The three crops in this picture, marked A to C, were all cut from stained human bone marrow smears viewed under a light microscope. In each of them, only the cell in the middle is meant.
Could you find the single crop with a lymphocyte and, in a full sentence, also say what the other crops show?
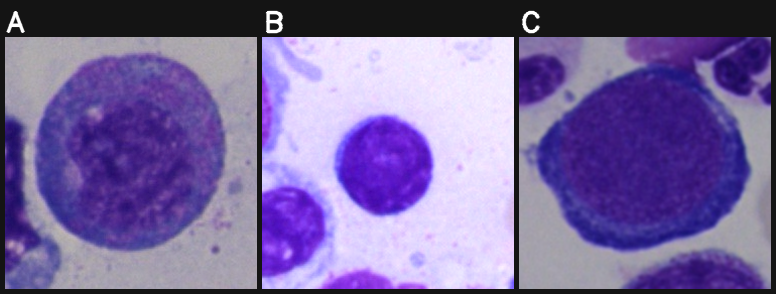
Crop B shows a lymphocyte, and as for the other crops, crop A is a promyelocyte and crop C is a proerythroblast.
